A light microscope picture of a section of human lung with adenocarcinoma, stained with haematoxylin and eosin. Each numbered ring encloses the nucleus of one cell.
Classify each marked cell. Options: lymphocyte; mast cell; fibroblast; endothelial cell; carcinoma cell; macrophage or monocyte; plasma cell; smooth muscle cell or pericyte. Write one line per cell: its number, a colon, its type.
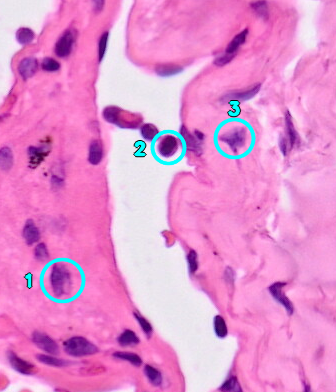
1: fibroblast
2: lymphocyte
3: fibroblast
